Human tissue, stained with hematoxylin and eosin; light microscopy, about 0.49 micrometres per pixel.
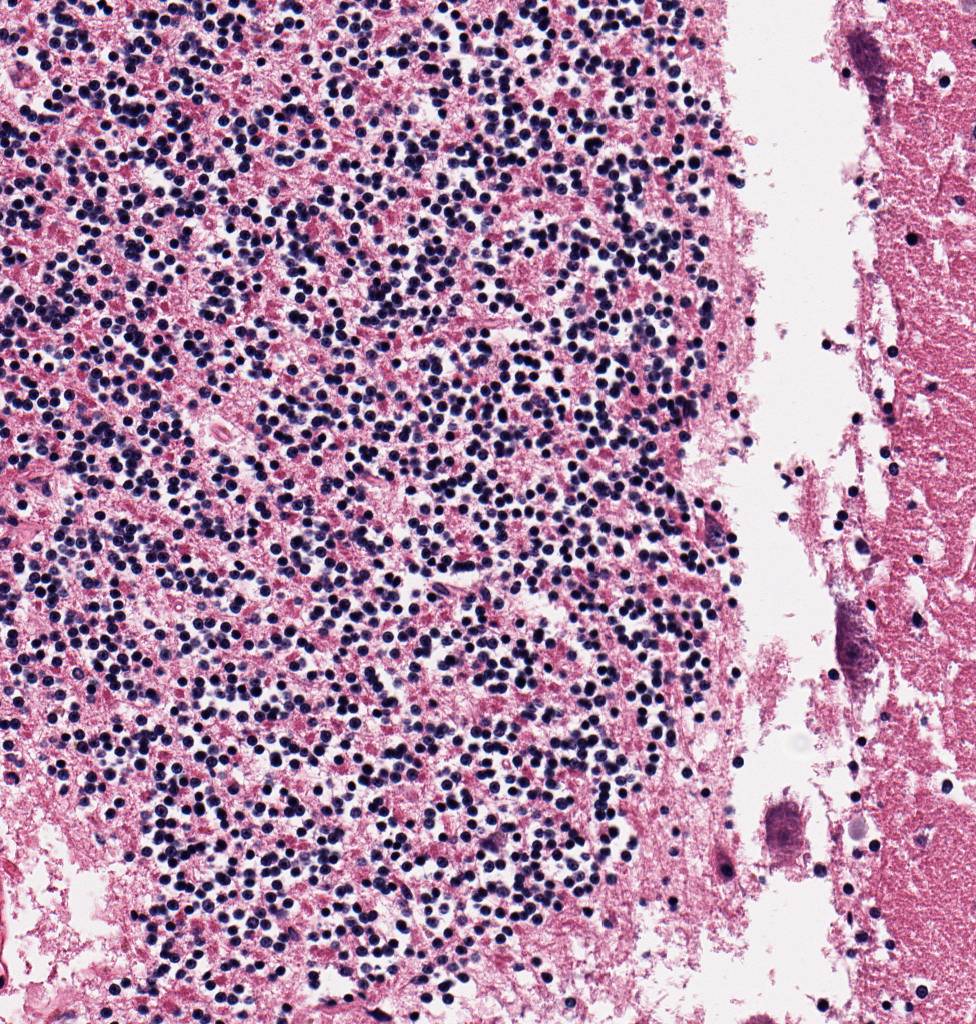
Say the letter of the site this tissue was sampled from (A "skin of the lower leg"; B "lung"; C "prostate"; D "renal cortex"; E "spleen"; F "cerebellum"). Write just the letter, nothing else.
F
